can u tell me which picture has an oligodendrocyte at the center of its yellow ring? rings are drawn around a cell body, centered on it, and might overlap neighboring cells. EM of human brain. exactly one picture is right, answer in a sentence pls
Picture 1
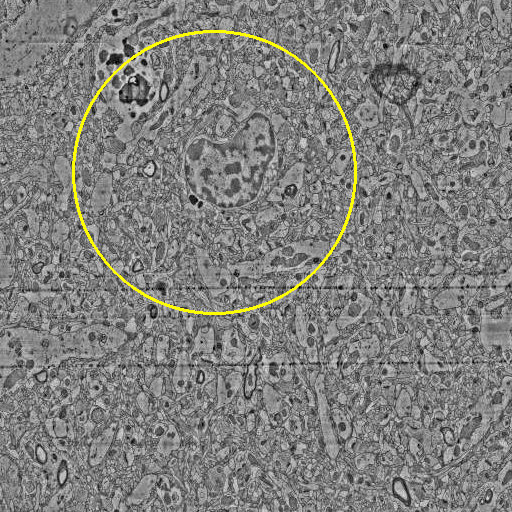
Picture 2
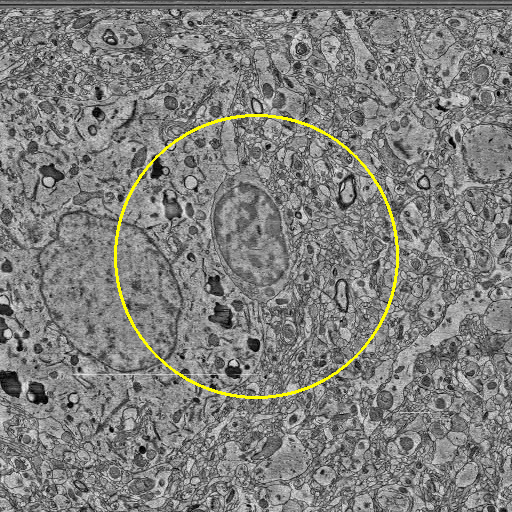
Picture 2 is the one.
